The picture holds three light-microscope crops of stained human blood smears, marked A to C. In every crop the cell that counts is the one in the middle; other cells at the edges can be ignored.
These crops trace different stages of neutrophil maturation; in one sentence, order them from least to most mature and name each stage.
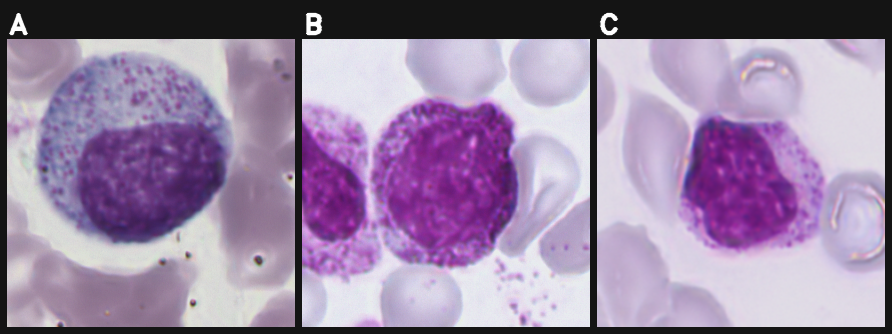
Arranged by increasing maturity, the sequence is crop A (a promyelocyte), crop B (a myelocyte) and crop C (a band neutrophil).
